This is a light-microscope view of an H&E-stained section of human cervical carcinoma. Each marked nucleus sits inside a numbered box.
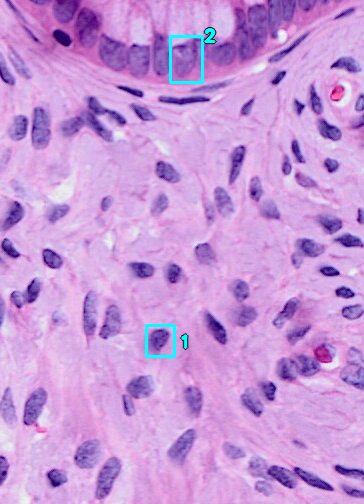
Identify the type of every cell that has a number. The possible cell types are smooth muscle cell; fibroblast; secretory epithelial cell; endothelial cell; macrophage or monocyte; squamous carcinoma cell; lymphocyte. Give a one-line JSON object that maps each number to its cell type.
{"1": "fibroblast", "2": "secretory epithelial cell"}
